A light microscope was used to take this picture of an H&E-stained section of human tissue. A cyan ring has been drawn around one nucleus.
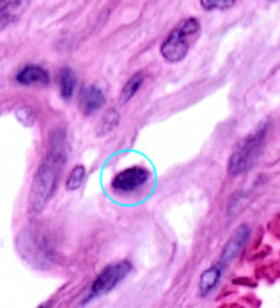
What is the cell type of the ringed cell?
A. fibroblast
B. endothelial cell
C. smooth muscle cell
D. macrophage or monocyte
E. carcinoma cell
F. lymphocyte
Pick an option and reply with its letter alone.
F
